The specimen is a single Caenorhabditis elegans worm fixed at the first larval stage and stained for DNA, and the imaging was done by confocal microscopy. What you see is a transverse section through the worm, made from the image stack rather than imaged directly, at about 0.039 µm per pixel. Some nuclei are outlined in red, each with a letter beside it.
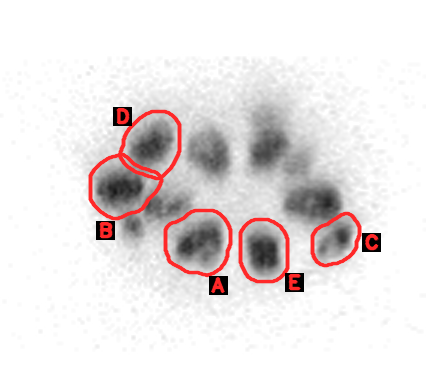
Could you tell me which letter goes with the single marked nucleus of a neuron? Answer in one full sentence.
B is the one that belongs to a neuron.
